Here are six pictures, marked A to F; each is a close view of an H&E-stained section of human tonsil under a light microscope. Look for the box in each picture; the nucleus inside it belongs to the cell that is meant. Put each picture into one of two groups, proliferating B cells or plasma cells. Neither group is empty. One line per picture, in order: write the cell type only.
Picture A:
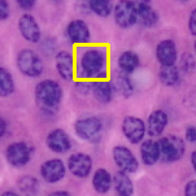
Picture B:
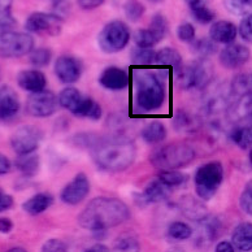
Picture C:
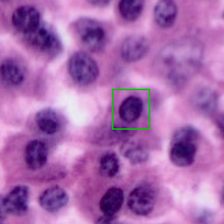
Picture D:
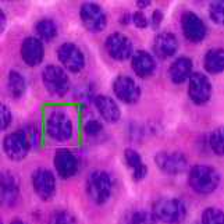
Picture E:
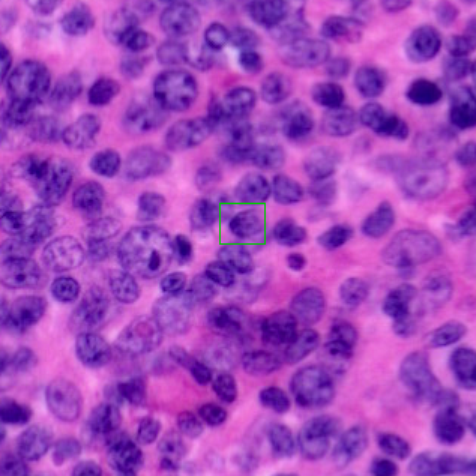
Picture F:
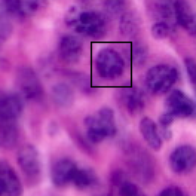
plasma cell
proliferating B cell
plasma cell
plasma cell
proliferating B cell
plasma cell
